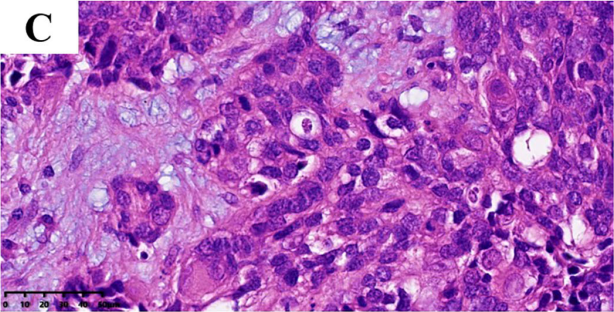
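Here poorly differentiated carcinoma cells are seen in sheets and nests, with large round to oval nuclei that nearly fill each cell and only a narrow rim of pink cytoplasm. The chromatin is finely granular, and some nuclei are very dark and irregular. Between cell groups lie pale bluish, loose areas with small clear vacuoles.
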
